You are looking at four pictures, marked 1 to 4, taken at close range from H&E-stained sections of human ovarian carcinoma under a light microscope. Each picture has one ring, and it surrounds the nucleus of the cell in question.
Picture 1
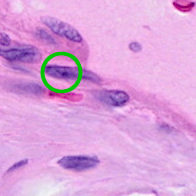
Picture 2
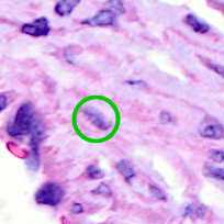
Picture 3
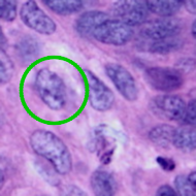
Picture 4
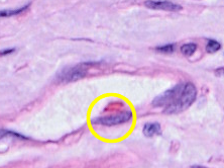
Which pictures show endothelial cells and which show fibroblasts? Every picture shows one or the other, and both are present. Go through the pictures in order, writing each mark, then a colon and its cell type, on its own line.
1: endothelial cell
2: fibroblast
3: fibroblast
4: endothelial cell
